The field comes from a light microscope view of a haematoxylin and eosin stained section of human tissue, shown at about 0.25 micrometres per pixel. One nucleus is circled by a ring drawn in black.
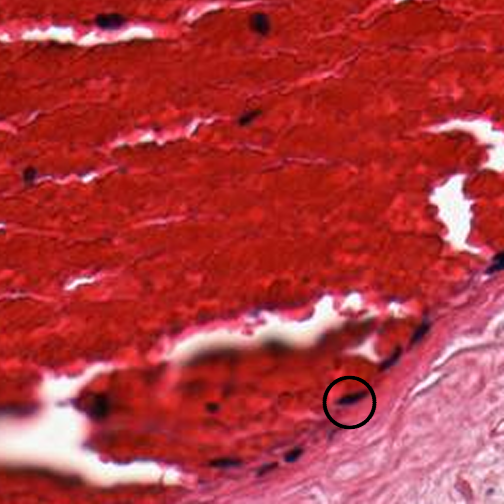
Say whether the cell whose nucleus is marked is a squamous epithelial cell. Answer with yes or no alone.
no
